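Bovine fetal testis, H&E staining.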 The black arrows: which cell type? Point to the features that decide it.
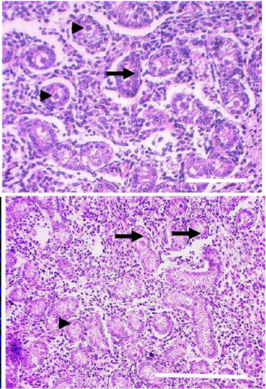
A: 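The arrows point at cells lining the wall of the cords. These cells have small dark nuclei arranged along the cord periphery. That points to this answer: Sertoli.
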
